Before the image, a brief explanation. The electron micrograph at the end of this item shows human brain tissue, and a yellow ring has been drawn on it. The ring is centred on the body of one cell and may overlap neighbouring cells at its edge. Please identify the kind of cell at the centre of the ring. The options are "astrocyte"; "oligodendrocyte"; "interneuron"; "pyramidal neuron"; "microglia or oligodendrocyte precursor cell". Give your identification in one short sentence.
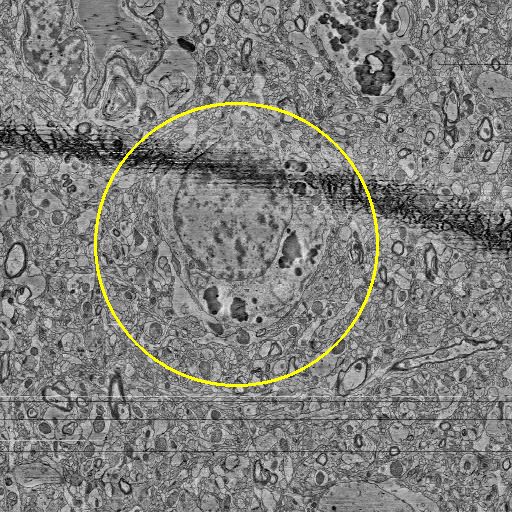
The ring has been placed around an interneuron.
